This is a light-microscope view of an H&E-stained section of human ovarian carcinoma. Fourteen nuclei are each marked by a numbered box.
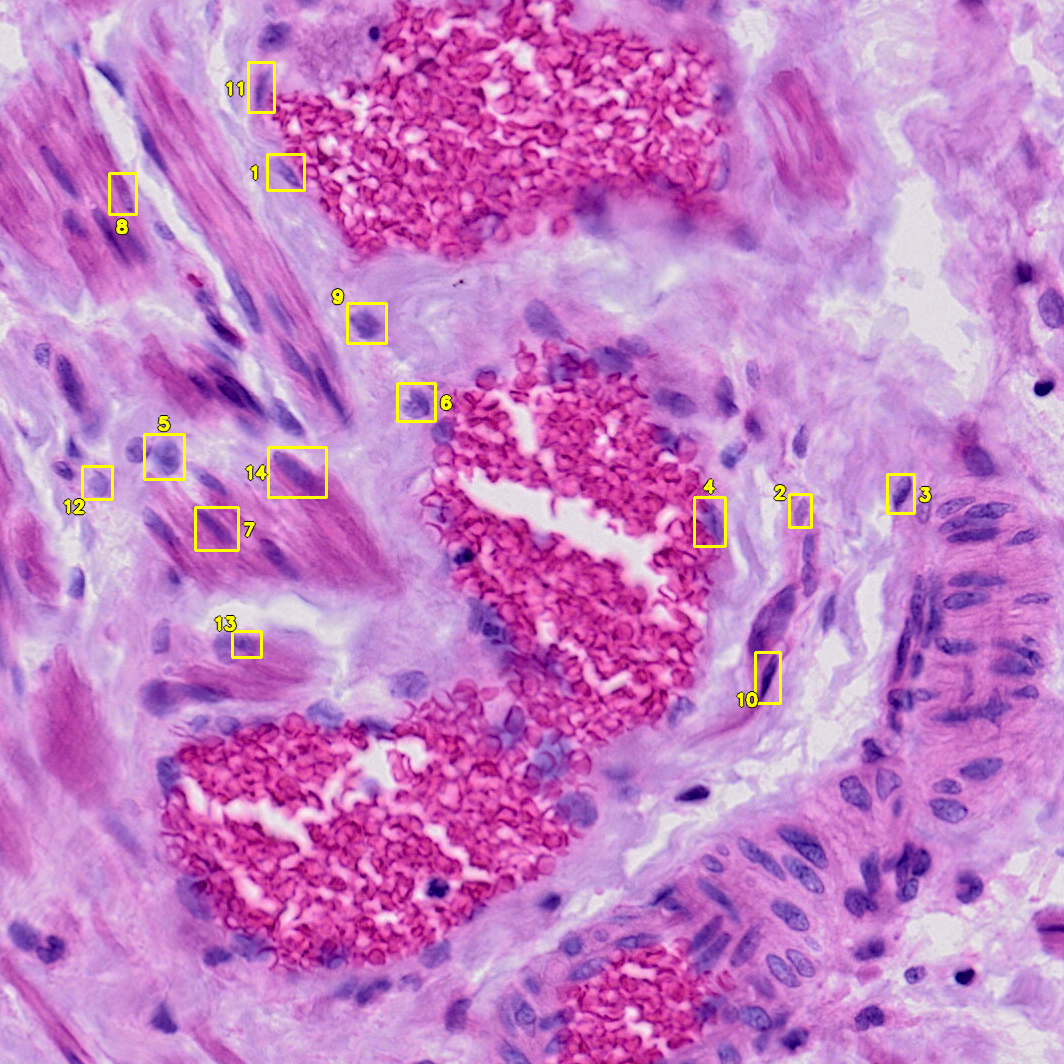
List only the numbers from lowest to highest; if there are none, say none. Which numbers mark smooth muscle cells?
2, 7, 8, 10, 13, 14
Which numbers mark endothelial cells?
1, 4, 11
